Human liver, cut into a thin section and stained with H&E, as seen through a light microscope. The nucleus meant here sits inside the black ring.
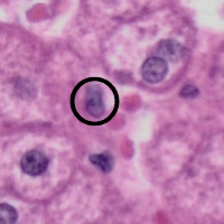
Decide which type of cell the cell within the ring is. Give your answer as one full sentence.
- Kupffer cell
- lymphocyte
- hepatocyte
In this preparation, the cell within the ring is a Kupffer cell.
